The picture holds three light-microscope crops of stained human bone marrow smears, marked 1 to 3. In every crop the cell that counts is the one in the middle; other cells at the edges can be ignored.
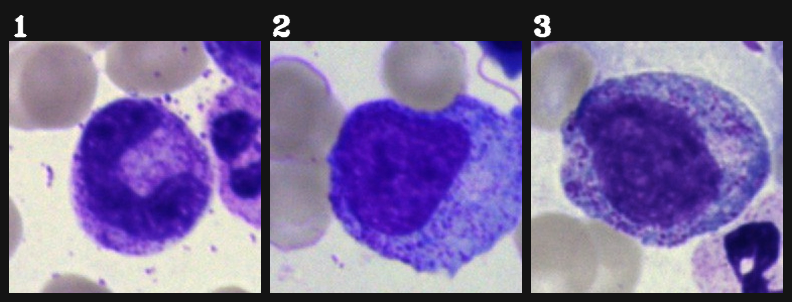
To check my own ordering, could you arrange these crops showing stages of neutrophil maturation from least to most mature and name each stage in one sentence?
In ascending order of maturity, the sequence is crop 2 (a promyelocyte), crop 3 (a myelocyte) and crop 1 (a band neutrophil).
